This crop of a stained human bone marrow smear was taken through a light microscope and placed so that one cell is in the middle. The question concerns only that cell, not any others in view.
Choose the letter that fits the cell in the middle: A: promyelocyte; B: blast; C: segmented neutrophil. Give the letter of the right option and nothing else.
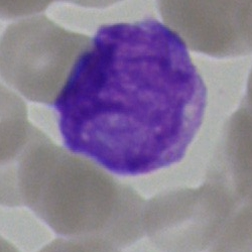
B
